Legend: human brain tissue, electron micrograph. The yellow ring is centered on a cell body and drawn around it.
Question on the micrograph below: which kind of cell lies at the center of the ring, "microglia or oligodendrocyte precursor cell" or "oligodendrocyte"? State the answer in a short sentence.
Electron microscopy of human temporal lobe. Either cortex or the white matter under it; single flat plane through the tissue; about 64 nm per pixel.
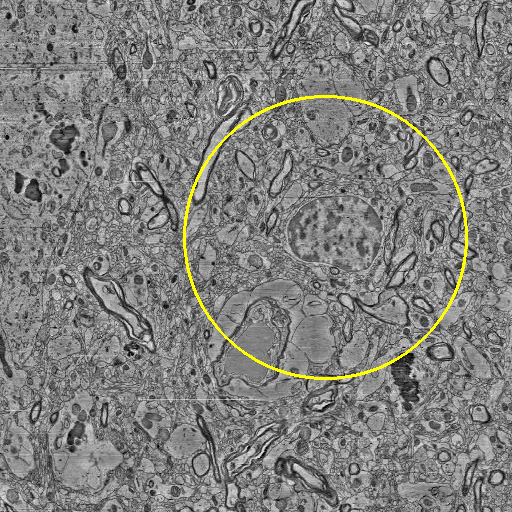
At the center of the ring lies a microglial cell or oligodendrocyte precursor cell.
